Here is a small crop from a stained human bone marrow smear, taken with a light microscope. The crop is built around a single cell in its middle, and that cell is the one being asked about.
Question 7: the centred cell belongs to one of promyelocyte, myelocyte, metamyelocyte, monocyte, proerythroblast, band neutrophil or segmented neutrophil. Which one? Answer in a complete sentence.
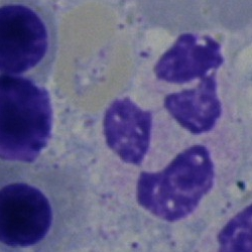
The middle of this crop is occupied by a segmented neutrophil.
